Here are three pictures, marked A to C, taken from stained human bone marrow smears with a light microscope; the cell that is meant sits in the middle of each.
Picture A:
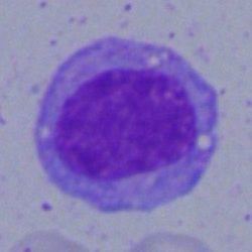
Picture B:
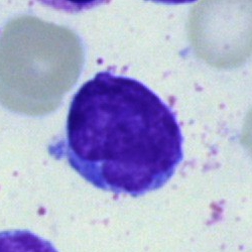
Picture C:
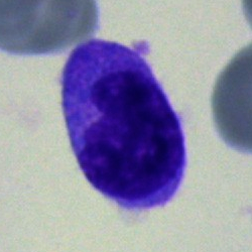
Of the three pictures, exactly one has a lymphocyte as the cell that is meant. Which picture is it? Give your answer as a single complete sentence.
Picture B is the one that shows the lymphocyte.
